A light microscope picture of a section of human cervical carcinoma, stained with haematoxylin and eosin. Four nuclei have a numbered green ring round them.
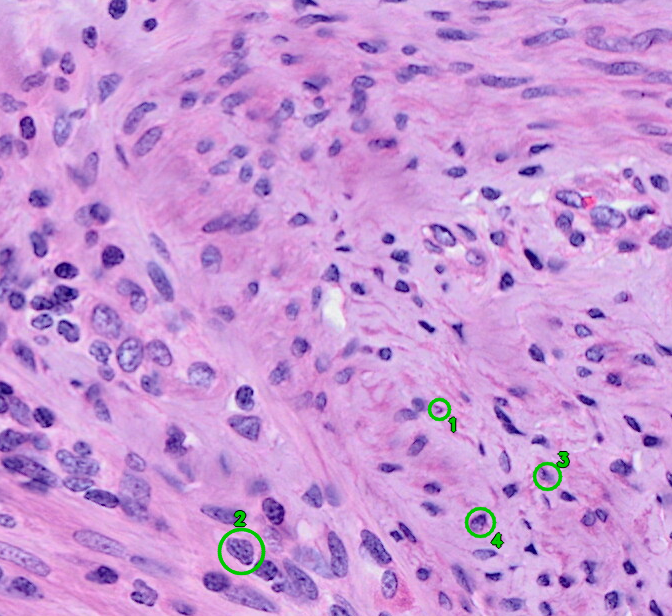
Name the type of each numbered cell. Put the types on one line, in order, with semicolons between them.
smooth muscle cell; lymphocyte; smooth muscle cell; smooth muscle cell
